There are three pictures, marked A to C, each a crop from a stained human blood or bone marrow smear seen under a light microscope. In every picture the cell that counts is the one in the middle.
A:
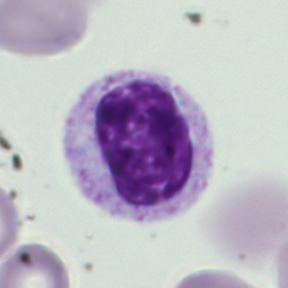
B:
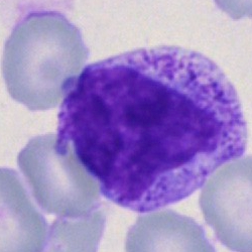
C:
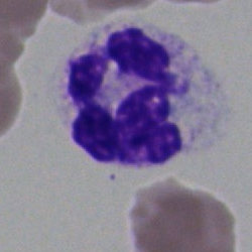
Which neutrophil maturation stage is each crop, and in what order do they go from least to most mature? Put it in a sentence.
Proceeding from least to most mature, the order is crop B (a myelocyte), crop A (a metamyelocyte) and crop C (a segmented neutrophil).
